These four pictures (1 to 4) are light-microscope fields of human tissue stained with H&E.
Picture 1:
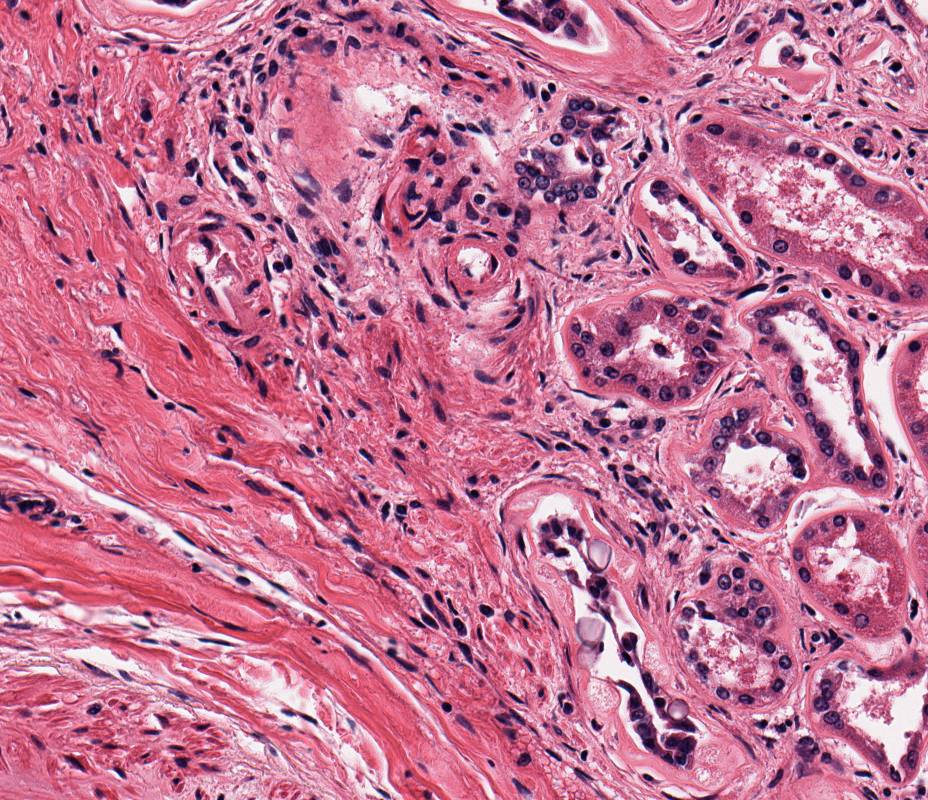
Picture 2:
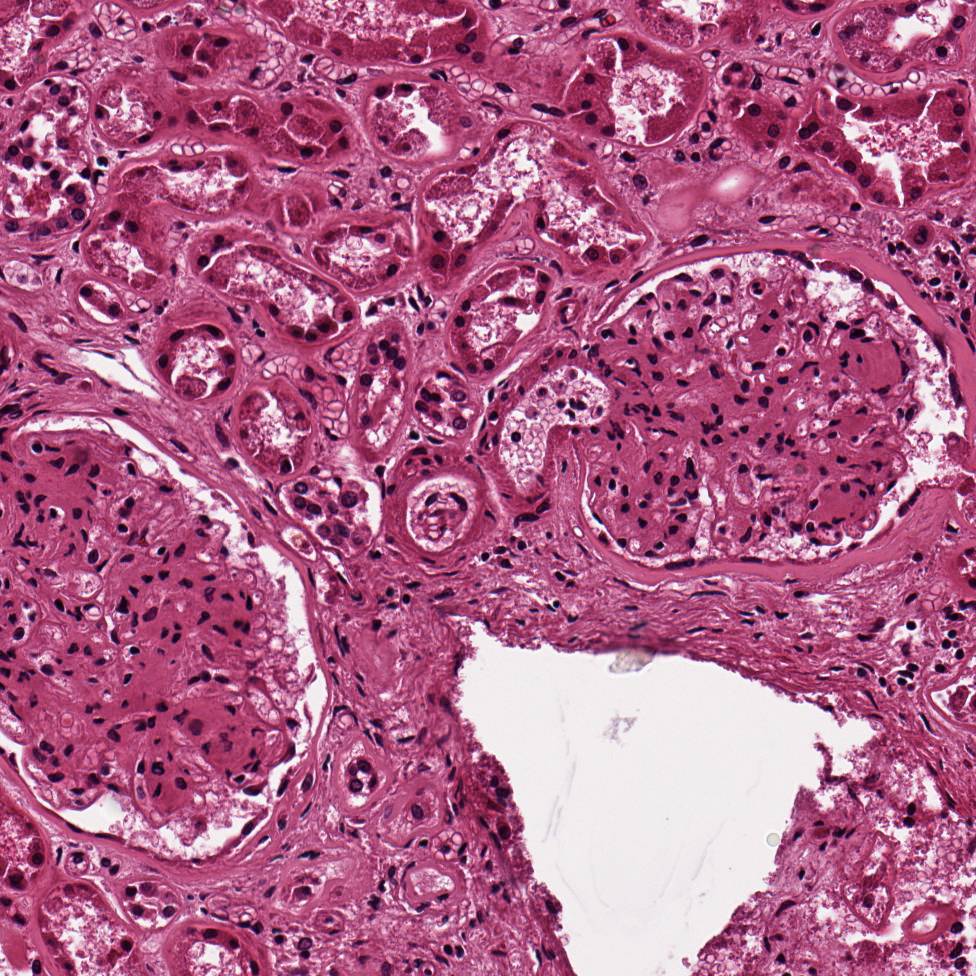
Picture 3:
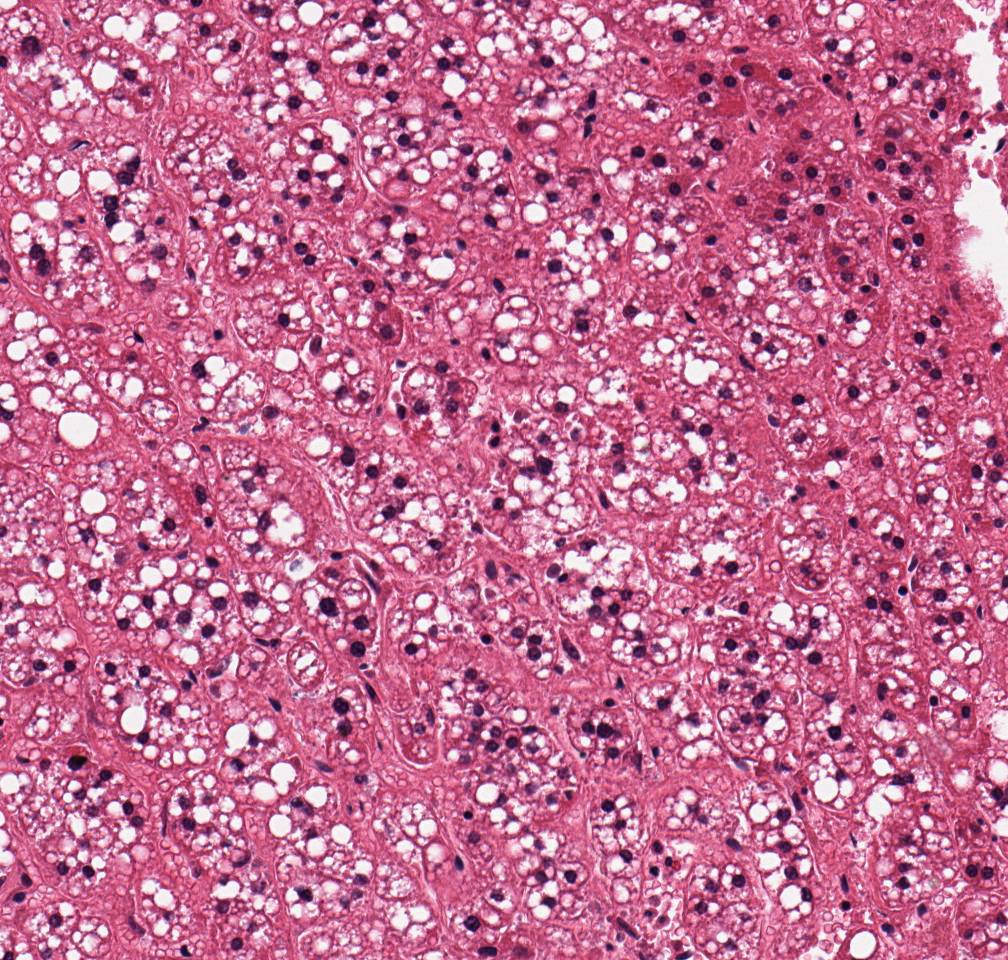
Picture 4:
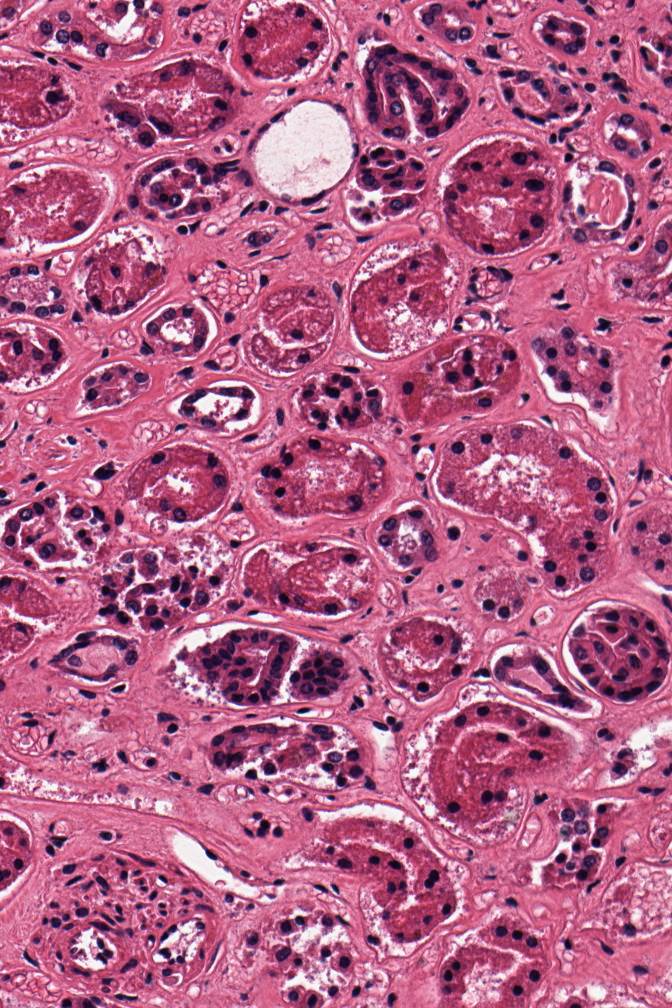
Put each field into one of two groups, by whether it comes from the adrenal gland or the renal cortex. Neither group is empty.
1: renal cortex
2: renal cortex
3: adrenal gland
4: renal cortex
